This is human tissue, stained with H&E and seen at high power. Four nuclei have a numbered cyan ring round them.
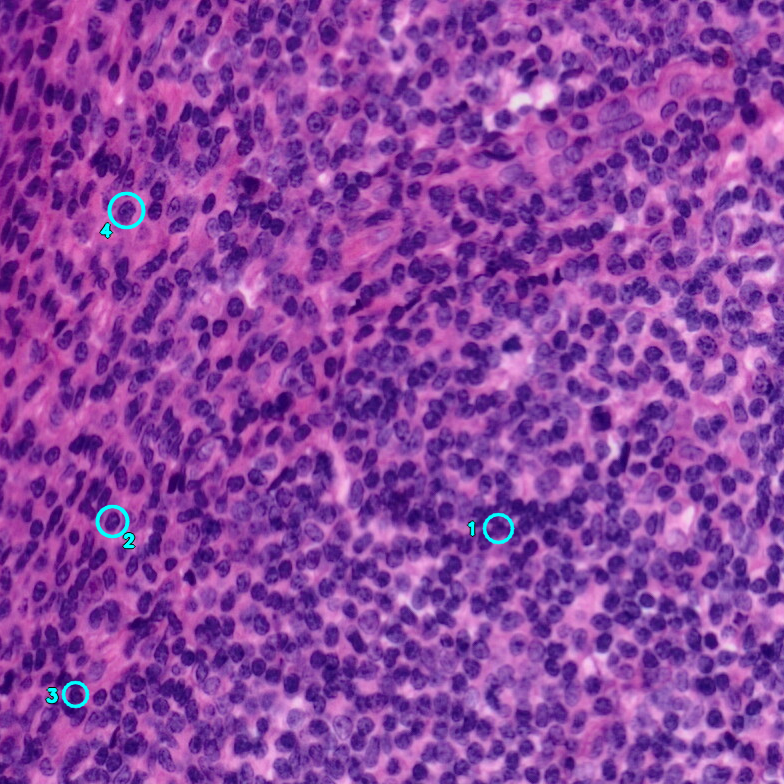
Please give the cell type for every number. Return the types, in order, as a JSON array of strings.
["small lymphocyte", "plasma cell", "small lymphocyte", "plasma cell"]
